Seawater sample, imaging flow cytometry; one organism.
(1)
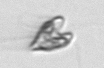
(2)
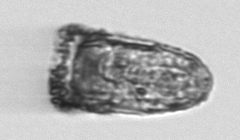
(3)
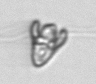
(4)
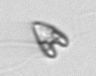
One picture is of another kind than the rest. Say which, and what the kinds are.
Picture 2 shows a tintinnid; the rest show Pyramimonas.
